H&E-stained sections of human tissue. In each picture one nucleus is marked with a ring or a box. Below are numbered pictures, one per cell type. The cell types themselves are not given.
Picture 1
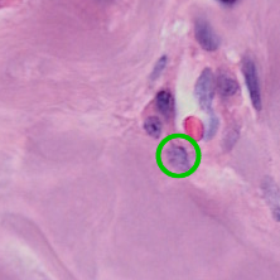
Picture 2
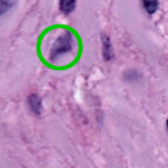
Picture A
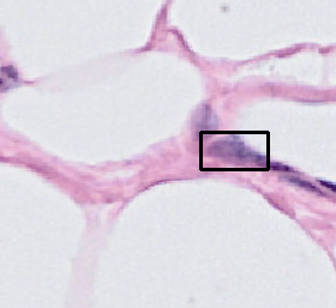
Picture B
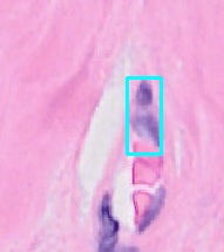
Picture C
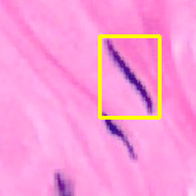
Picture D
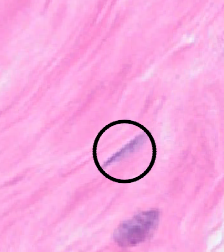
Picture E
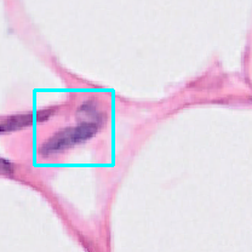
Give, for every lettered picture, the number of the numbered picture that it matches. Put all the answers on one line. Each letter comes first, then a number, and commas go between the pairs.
A 1, B 1, C 2, D 2, E 1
